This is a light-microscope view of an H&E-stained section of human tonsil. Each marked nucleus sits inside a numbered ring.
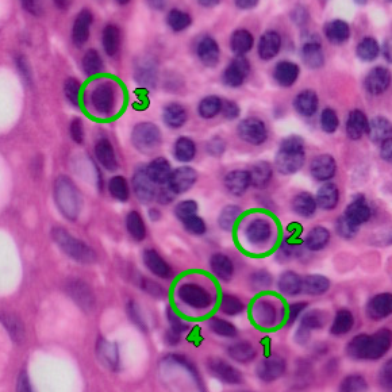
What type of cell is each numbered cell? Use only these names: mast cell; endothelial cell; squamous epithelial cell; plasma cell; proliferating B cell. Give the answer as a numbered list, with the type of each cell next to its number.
1. squamous epithelial cell
2. plasma cell
3. squamous epithelial cell
4. squamous epithelial cell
